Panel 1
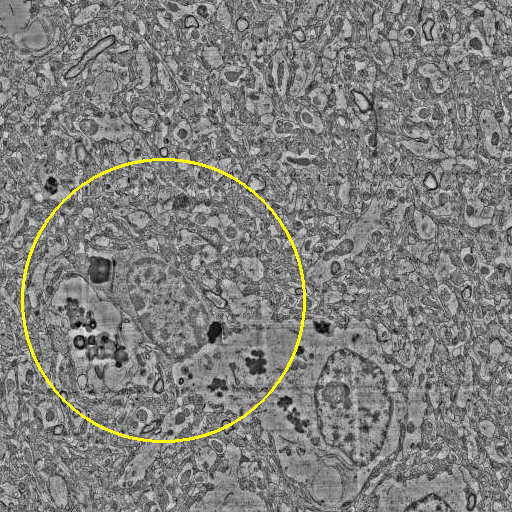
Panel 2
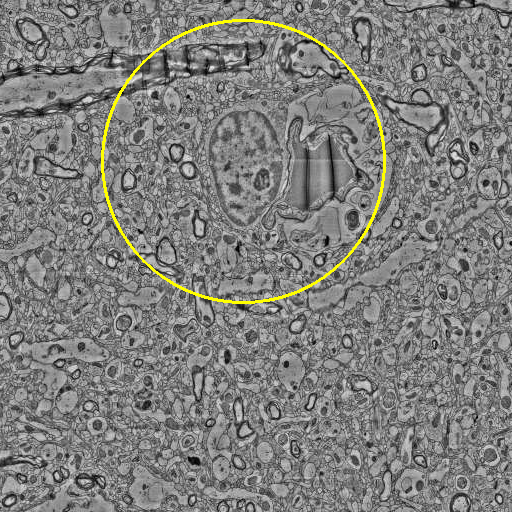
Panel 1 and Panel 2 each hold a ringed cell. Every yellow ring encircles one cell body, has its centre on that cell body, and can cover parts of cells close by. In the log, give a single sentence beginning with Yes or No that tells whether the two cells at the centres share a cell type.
Yes, in Panel 1 and Panel 2 the centred cells share a cell type.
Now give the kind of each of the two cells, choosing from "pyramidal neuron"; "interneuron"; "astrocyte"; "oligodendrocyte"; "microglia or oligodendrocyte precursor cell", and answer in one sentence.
Each cell, in the first picture and the second, is an oligodendrocyte.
